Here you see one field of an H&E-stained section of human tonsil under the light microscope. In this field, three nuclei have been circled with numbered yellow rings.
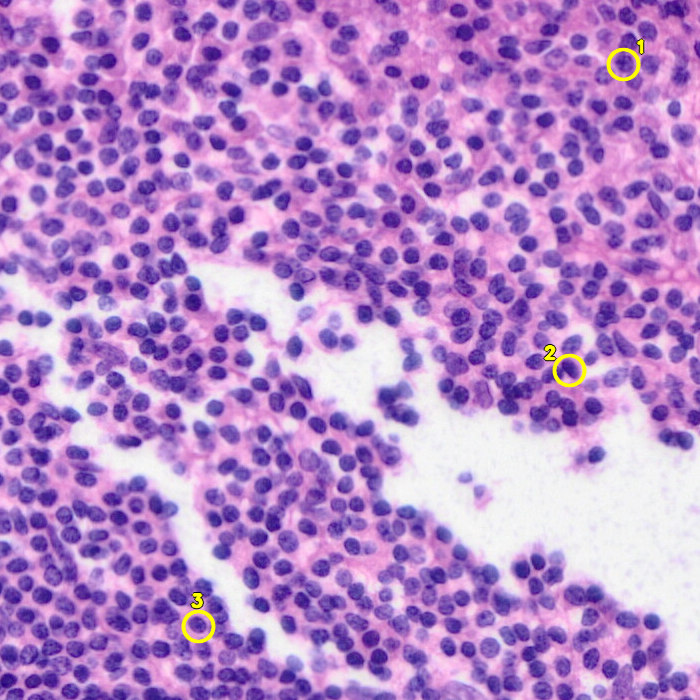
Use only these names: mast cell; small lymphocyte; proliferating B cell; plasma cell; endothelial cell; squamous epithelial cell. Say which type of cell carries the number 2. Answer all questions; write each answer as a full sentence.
Number 2 is placed on a small lymphocyte here.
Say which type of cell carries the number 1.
The cell to which the number 1 is assigned is a plasma cell.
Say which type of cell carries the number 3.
Cell 3 should be recorded as a small lymphocyte.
